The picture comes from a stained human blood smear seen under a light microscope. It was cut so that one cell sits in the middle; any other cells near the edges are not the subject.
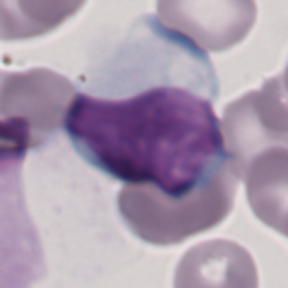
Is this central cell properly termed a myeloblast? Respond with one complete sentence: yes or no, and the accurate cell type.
Yes, the cell sitting in the center is a myeloblast.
